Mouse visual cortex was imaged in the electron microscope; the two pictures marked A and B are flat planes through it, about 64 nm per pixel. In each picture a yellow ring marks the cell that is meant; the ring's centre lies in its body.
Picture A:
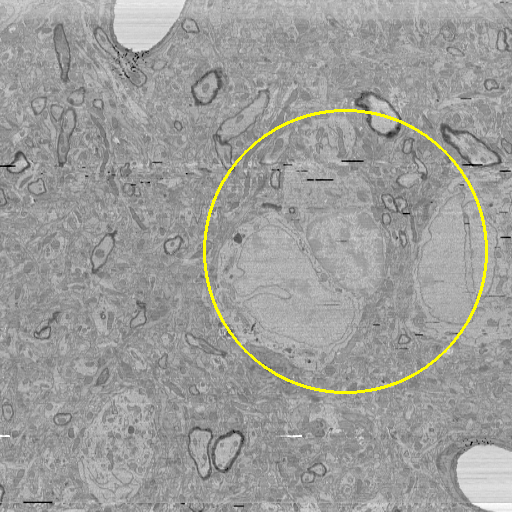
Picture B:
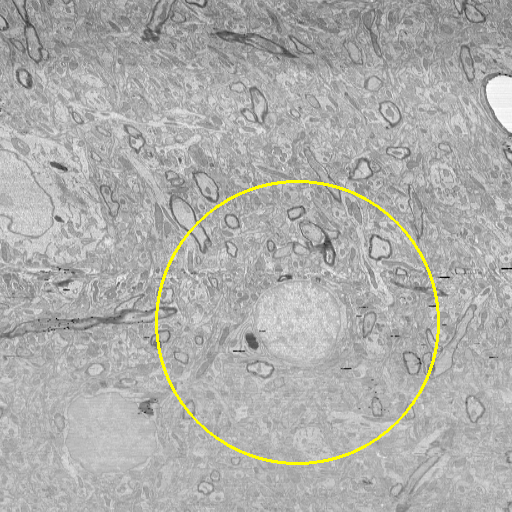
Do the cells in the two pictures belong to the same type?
Yes; the cells in both pictures are oligodendrocytes.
